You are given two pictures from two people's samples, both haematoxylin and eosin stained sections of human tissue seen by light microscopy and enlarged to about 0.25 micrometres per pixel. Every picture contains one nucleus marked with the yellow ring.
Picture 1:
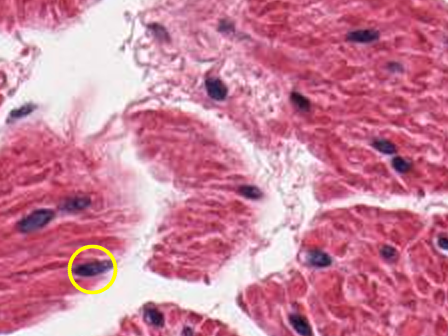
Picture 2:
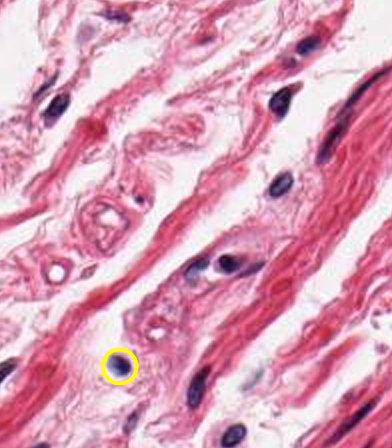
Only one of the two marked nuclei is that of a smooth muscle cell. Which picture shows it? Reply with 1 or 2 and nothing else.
1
